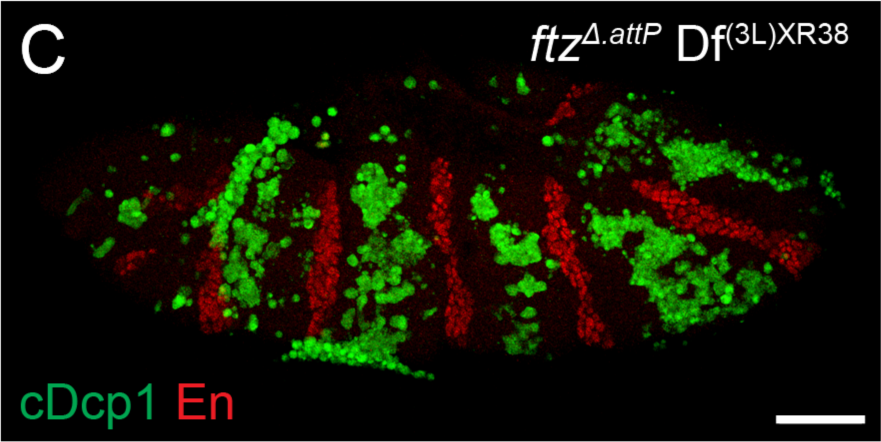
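Narrow red stripes of closely packed small cells run across the body at regular intervals, marking a repeated segmental pattern, though the stripes are fewer and irregular. Large green clumps and many small round green bodies fill the spaces between the red stripes, and some rounded bodies lie loose, as fragments of dying cells would. The green cells are spread over much of the body, densest toward its middle and posterior part.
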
